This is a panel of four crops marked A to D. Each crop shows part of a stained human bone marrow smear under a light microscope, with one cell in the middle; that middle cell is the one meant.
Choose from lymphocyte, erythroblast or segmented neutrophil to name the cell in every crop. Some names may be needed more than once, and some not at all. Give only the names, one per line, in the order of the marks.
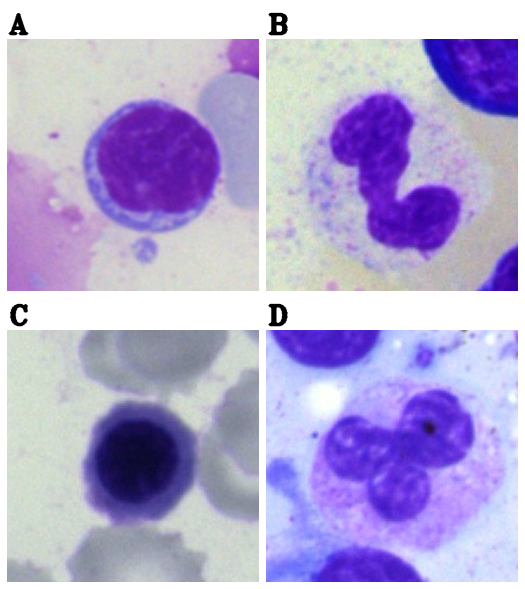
lymphocyte
segmented neutrophil
erythroblast
segmented neutrophil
